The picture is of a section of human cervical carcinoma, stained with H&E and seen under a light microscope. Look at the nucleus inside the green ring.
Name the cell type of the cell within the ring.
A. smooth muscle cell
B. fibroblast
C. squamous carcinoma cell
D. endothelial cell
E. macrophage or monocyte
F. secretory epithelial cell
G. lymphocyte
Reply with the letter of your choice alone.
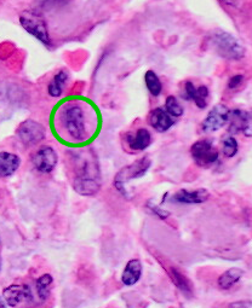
D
